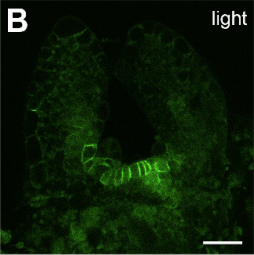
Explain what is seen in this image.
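A seedling shoot apex with the meristem lying between two large flanking organs. The green outlines are strongest in a short row of small, regularly stacked cells at the bottom of the notch, whereas the flanking organs show only faint, patchy cell outlines.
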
